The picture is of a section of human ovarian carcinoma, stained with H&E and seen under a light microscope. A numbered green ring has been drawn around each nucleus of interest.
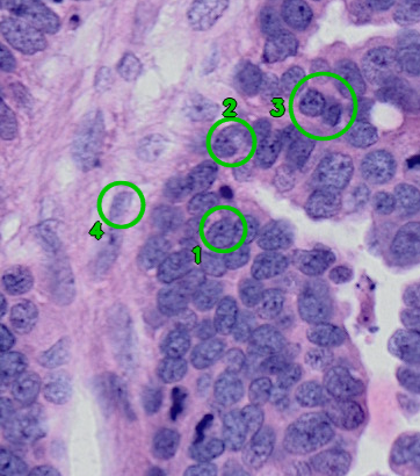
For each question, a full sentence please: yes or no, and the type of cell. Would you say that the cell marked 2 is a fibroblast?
No, the cell carrying number 2 is a carcinoma cell, not a fibroblast.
